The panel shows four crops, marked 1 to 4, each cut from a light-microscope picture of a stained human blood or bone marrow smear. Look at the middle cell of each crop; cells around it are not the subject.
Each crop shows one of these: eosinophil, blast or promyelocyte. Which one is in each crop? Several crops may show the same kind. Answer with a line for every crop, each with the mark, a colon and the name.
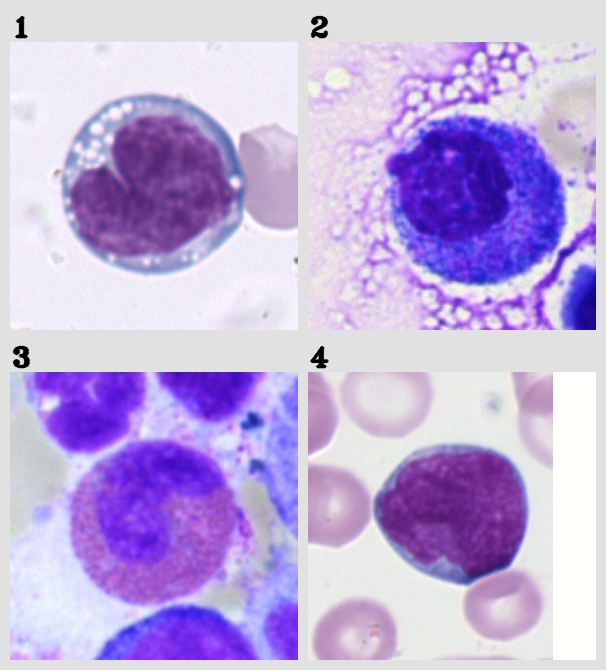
1: blast
2: promyelocyte
3: eosinophil
4: blast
